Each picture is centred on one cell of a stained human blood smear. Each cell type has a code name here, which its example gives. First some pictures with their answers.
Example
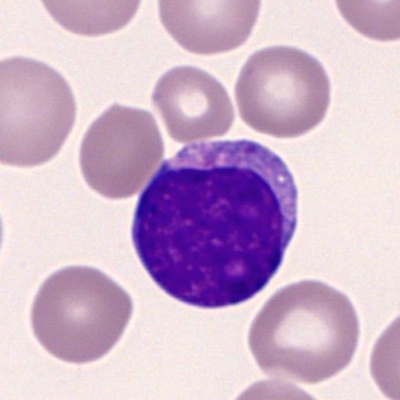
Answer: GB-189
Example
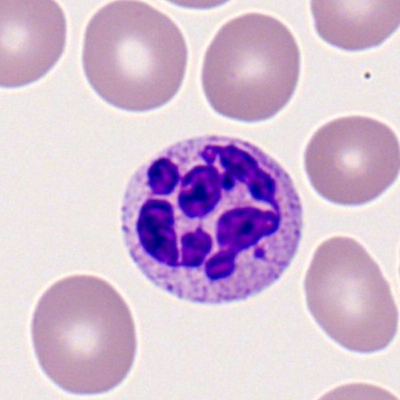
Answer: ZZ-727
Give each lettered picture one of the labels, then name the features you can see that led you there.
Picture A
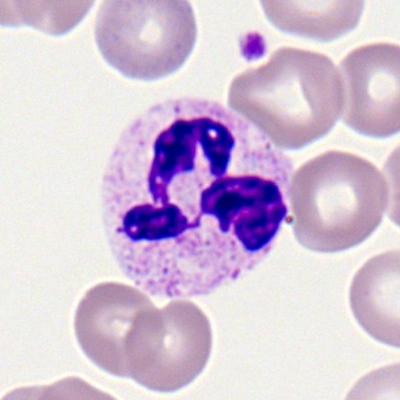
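ZZ-727: The nucleus is divided into three lobes.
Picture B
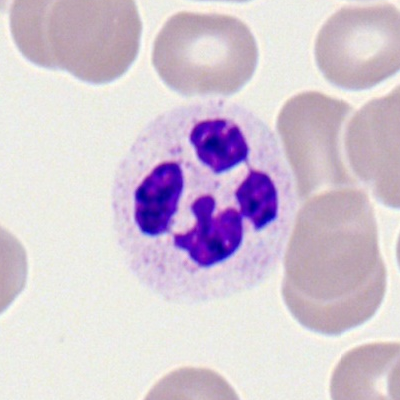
ZZ-727: The nucleus is divided into at least four separate-looking lobes.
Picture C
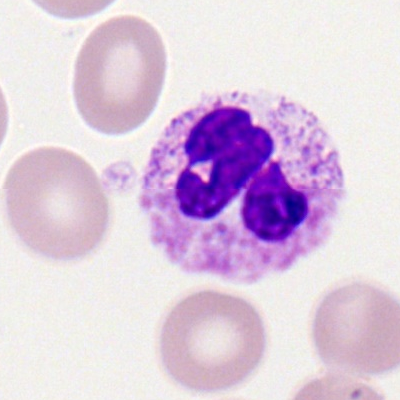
ZZ-727: The nucleus is divided into separate lobes joined by narrow connections.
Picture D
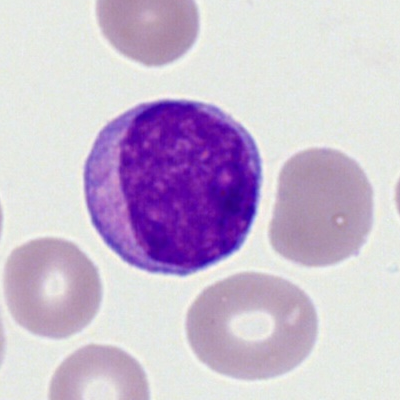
GB-189: The nucleus fills most of the cell.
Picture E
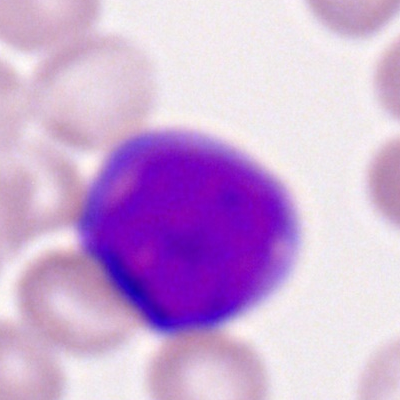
GB-189: The cytoplasm is only a thin deep-blue rim, seen best along the lower left edge.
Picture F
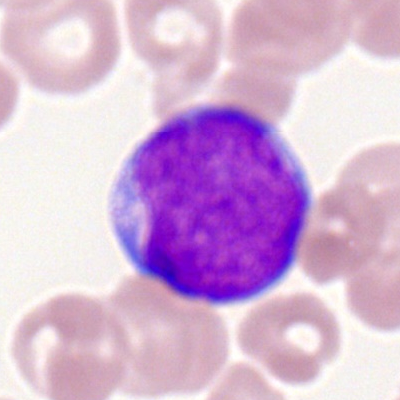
GB-189: The cytoplasm stains blue.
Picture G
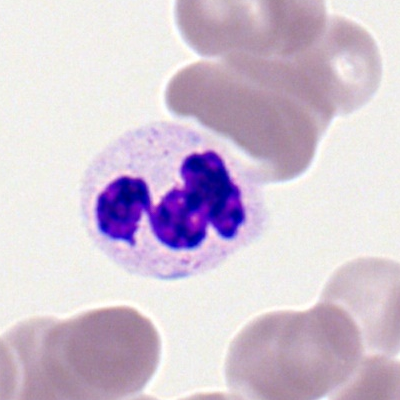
ZZ-727: The leftmost lobe is joined to the rest of the nucleus by a narrow bridge.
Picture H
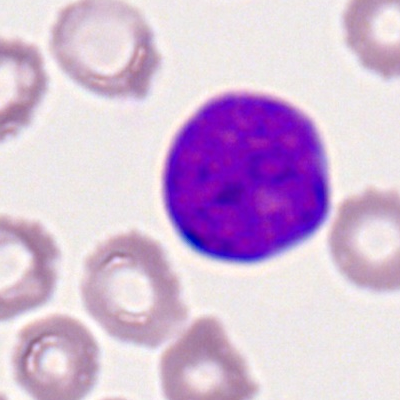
GB-189: The thin rim of cytoplasm is deep blue.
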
